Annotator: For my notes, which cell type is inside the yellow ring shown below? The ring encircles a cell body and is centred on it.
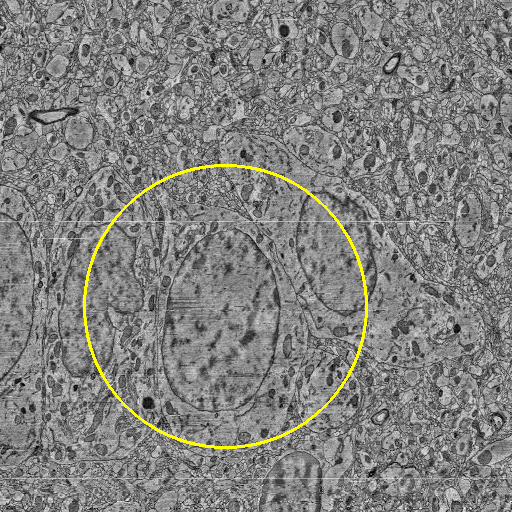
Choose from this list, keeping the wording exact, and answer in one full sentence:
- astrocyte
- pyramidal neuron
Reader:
At the centre of the yellow ring there is a pyramidal neuron, as shown in the picture.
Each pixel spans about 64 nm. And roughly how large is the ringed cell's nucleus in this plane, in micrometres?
Roughly 12 by 7 micrometres; in this plane, clearly longer than it is wide.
